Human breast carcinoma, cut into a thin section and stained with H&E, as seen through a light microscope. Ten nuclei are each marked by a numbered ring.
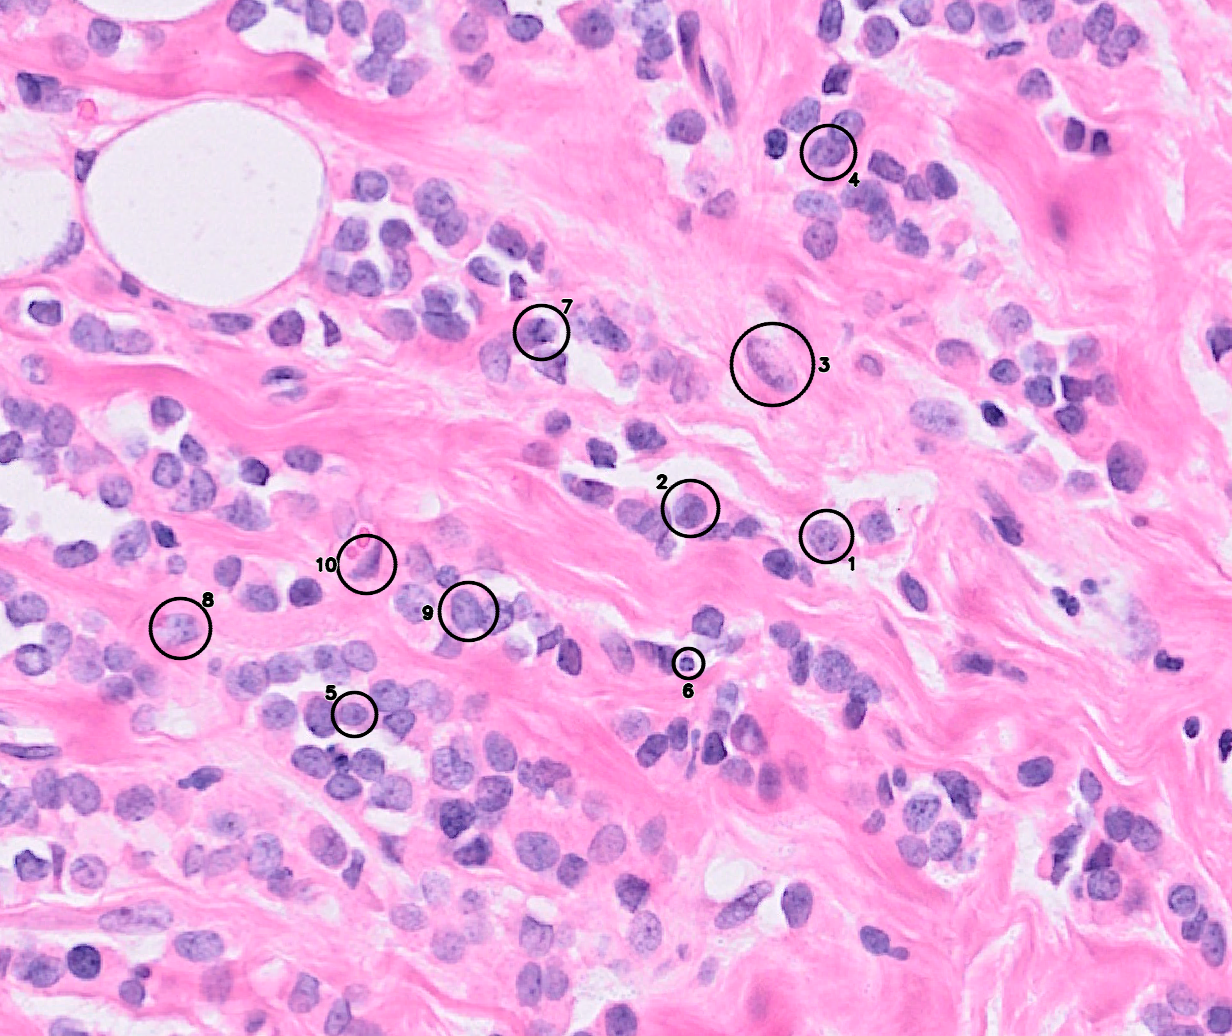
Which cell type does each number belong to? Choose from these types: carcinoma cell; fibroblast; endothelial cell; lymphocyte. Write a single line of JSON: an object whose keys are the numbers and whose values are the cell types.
{"1": "carcinoma cell", "2": "carcinoma cell", "3": "fibroblast", "4": "carcinoma cell", "5": "carcinoma cell", "6": "lymphocyte", "7": "carcinoma cell", "8": "endothelial cell", "9": "carcinoma cell", "10": "endothelial cell"}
